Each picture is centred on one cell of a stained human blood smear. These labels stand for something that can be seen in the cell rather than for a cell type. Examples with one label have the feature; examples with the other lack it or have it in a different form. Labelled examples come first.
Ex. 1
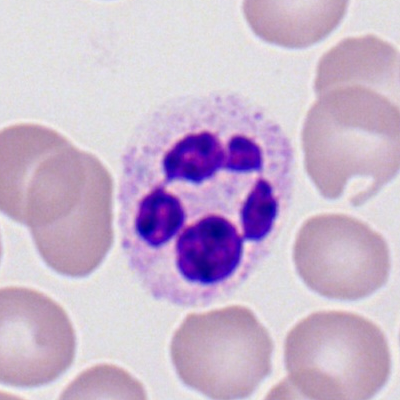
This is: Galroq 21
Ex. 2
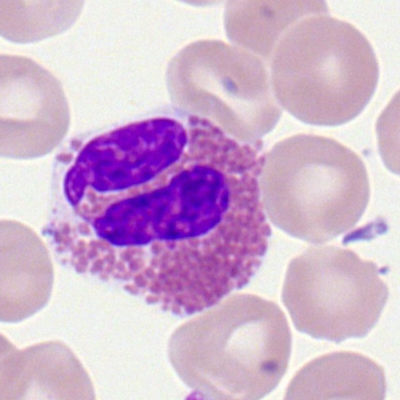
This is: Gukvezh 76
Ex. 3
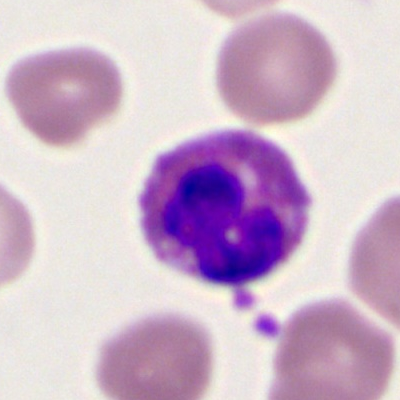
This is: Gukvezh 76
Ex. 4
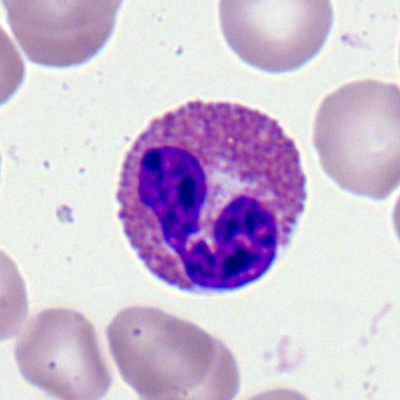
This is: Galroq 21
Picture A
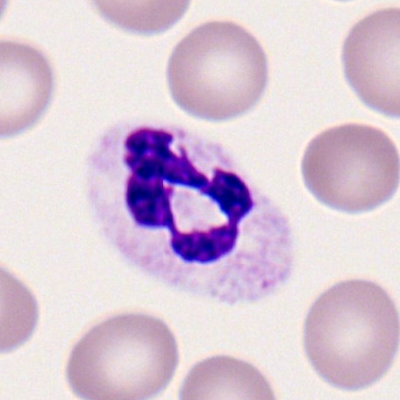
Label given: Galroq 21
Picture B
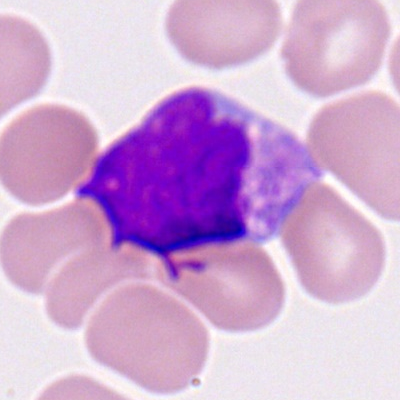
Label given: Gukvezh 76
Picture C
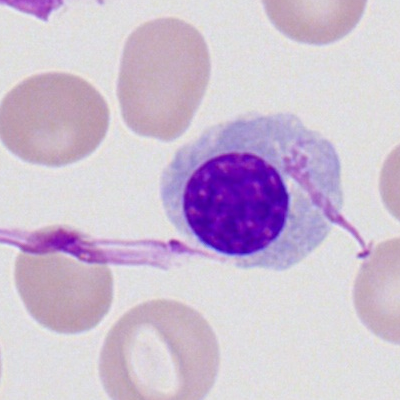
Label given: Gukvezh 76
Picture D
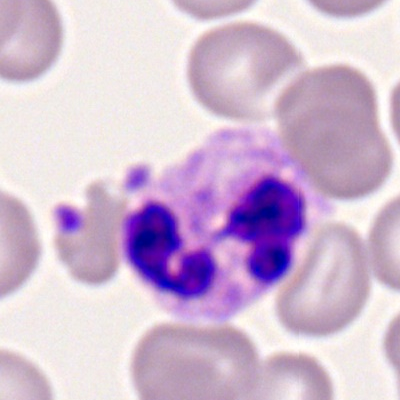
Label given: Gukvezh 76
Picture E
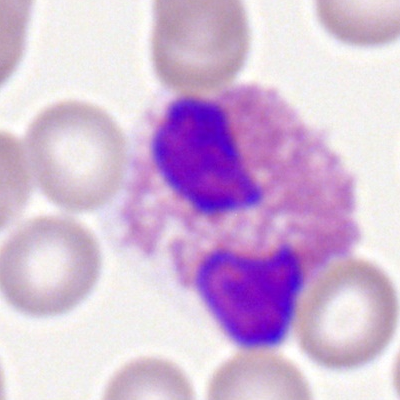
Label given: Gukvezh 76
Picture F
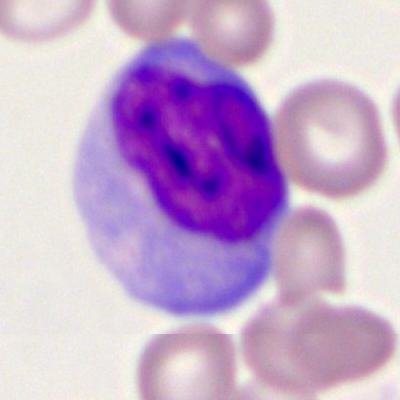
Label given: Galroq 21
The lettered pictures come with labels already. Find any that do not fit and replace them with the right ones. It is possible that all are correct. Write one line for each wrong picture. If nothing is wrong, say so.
Every label is right.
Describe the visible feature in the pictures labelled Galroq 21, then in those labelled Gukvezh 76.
In Galroq 21: smooth outline. In Gukvezh 76: ragged outline or projections.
